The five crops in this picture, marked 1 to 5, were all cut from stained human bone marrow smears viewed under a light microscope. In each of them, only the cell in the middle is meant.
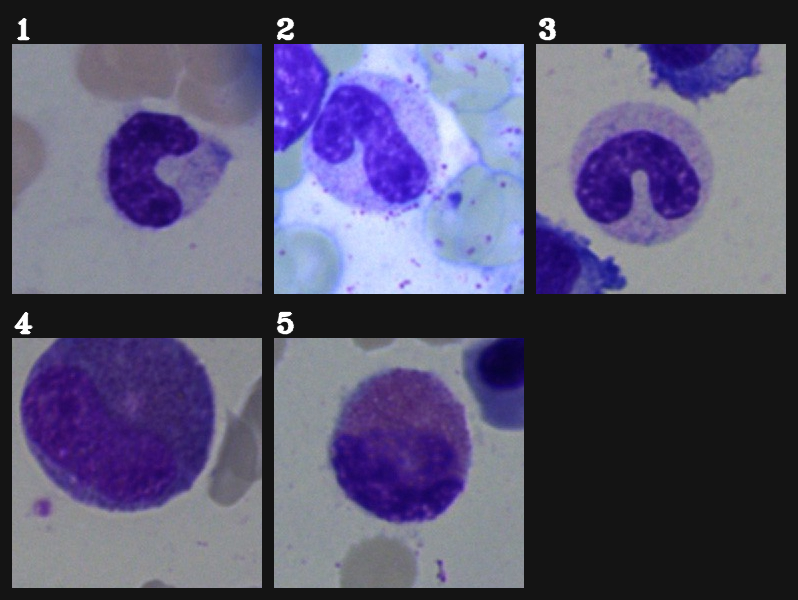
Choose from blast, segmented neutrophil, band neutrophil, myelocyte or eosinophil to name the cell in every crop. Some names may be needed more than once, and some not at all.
1: band neutrophil
2: band neutrophil
3: band neutrophil
4: eosinophil
5: eosinophil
